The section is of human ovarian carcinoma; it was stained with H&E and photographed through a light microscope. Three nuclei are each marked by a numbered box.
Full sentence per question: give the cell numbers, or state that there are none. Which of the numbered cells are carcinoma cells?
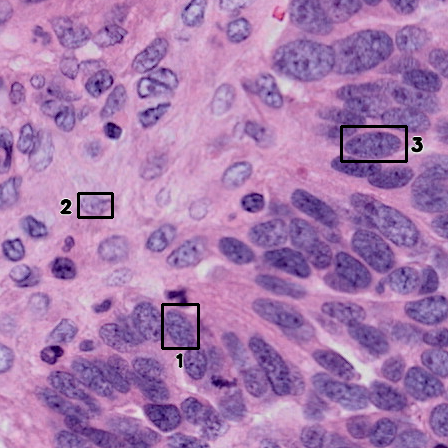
The numbers 1 and 3 mark cells that are carcinoma cells.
